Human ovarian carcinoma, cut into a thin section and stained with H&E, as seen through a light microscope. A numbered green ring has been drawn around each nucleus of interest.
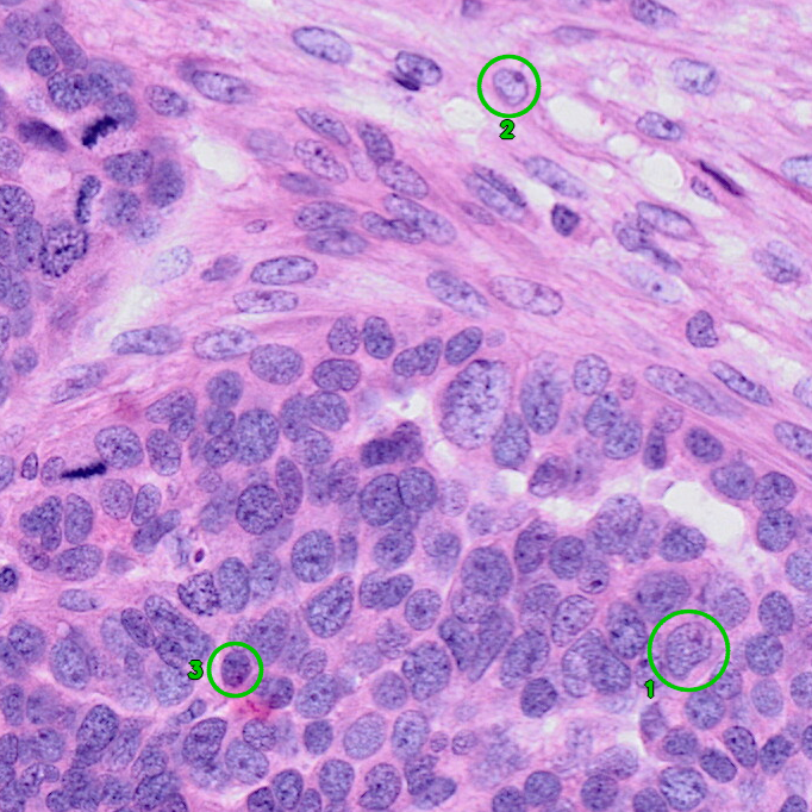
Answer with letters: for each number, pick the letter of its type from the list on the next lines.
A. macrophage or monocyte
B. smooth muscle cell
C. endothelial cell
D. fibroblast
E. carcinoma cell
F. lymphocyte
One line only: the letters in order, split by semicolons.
E; D; E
